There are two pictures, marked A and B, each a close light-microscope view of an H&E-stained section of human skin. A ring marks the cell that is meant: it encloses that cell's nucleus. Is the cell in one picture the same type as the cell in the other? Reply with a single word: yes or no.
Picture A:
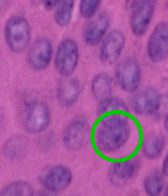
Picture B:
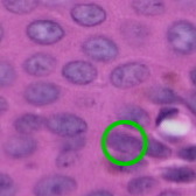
no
